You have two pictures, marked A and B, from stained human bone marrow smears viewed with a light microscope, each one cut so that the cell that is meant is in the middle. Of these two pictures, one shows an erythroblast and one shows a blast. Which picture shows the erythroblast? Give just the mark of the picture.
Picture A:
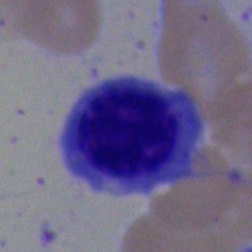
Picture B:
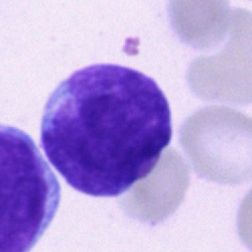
A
